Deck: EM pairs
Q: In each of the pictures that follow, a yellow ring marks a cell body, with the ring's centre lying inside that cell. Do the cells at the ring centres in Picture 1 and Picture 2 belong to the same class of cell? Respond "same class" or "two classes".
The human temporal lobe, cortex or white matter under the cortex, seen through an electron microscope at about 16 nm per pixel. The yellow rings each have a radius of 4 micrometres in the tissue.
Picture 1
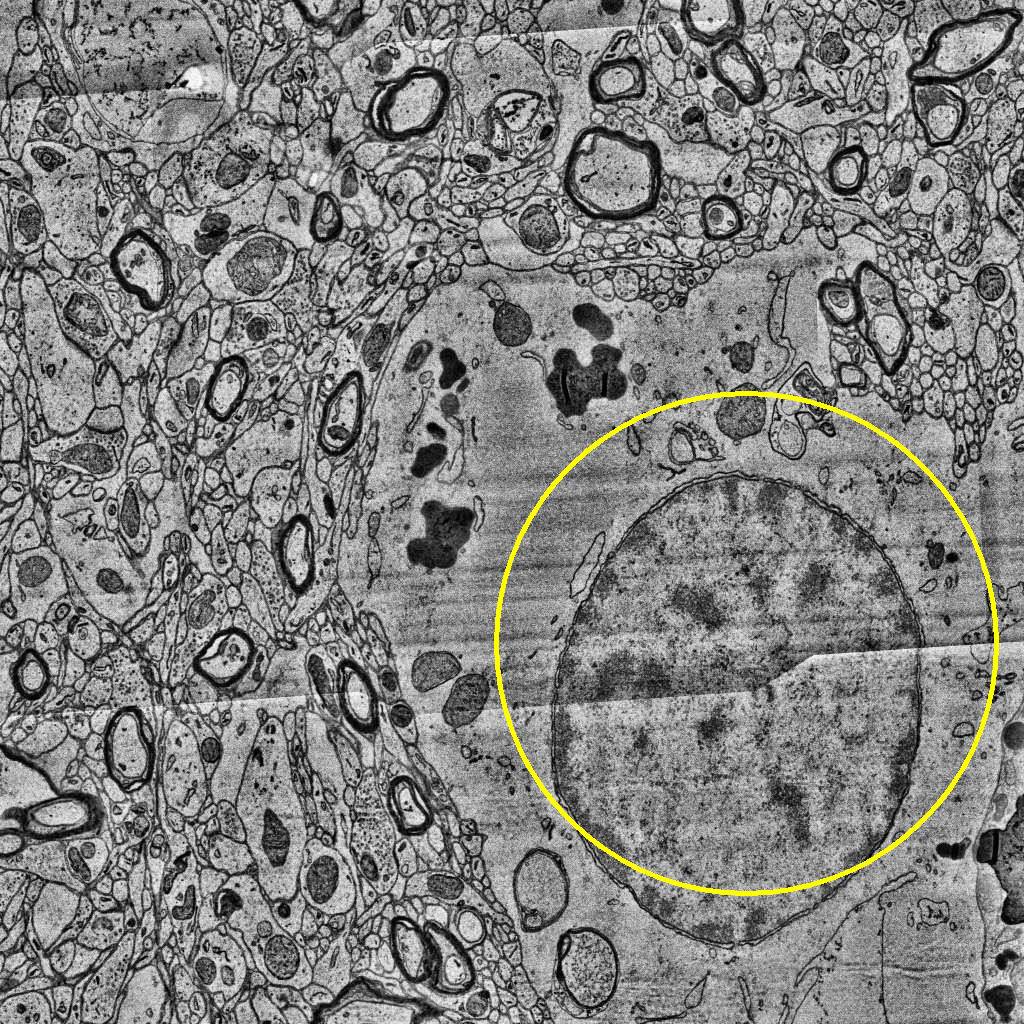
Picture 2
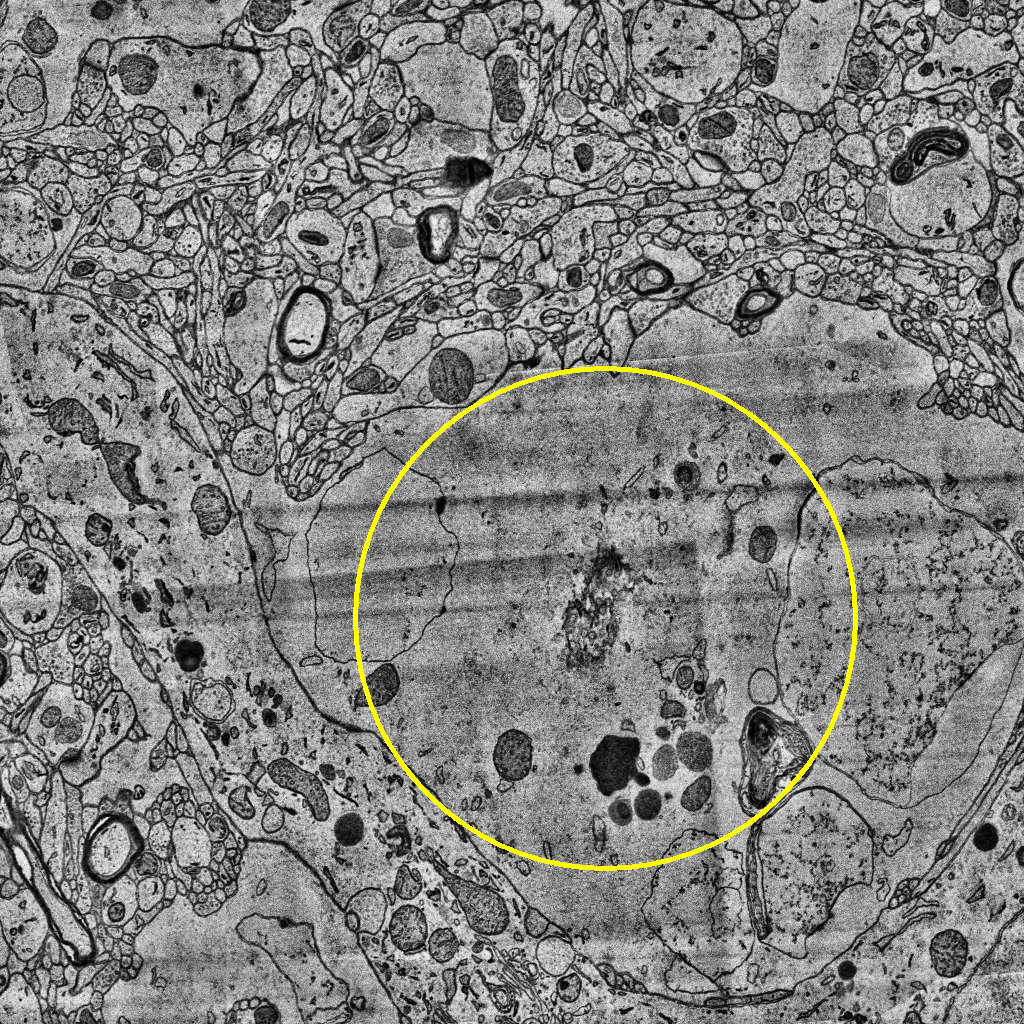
same class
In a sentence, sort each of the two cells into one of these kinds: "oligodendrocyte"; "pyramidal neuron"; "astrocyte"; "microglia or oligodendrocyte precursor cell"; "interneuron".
Each of the two cells is an astrocyte.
